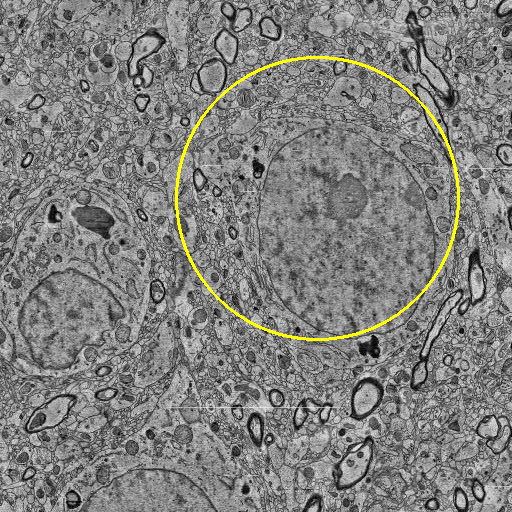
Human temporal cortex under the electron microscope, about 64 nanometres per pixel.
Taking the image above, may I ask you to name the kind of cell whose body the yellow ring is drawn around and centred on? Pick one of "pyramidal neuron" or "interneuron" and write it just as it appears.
pyramidal neuron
